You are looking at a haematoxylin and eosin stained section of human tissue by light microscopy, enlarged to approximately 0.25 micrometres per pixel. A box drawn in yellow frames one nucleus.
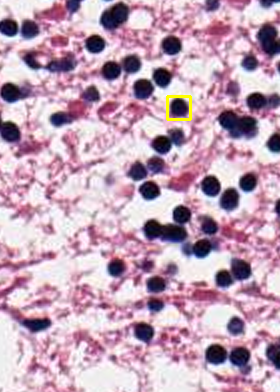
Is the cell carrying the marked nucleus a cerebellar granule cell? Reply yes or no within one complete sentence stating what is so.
Yes, the marked nucleus is present within a cerebellar granule cell.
